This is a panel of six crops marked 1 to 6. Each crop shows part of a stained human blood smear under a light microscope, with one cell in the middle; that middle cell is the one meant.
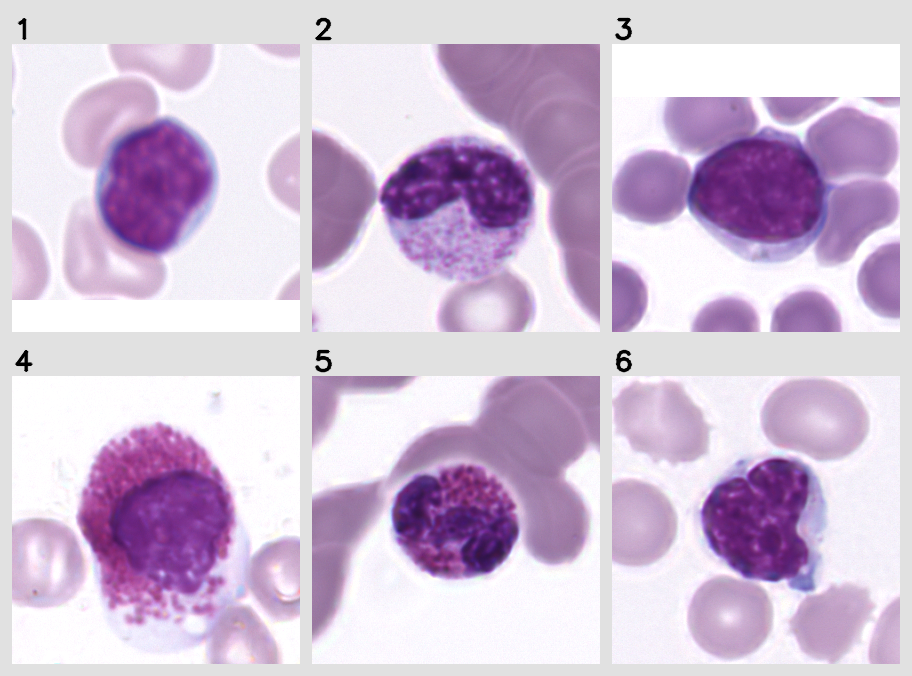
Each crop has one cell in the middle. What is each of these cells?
1: typical lymphocyte
2: band neutrophil
3: typical lymphocyte
4: eosinophil
5: eosinophil
6: plasma cell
